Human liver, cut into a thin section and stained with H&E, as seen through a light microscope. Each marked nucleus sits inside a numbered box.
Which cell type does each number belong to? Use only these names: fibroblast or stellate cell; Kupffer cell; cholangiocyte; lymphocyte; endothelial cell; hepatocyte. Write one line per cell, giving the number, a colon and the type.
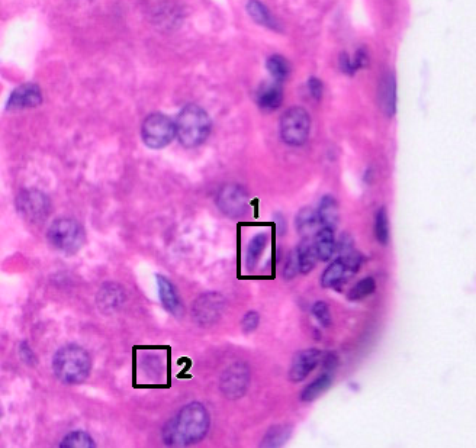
1: fibroblast or stellate cell
2: hepatocyte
